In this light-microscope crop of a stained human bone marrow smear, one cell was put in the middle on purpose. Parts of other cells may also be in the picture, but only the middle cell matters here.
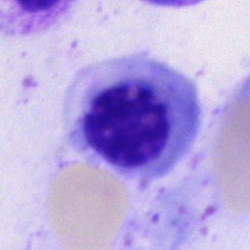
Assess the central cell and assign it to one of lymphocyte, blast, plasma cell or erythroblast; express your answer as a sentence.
Within this crop, an erythroblast occupies the central position.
